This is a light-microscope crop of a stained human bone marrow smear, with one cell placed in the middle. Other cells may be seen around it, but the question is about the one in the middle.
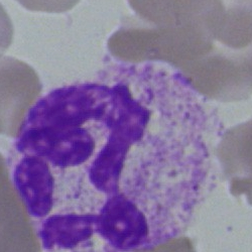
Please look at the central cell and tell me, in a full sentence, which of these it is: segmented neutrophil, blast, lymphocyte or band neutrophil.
To answer, the cell in the center of the crop is a segmented neutrophil.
